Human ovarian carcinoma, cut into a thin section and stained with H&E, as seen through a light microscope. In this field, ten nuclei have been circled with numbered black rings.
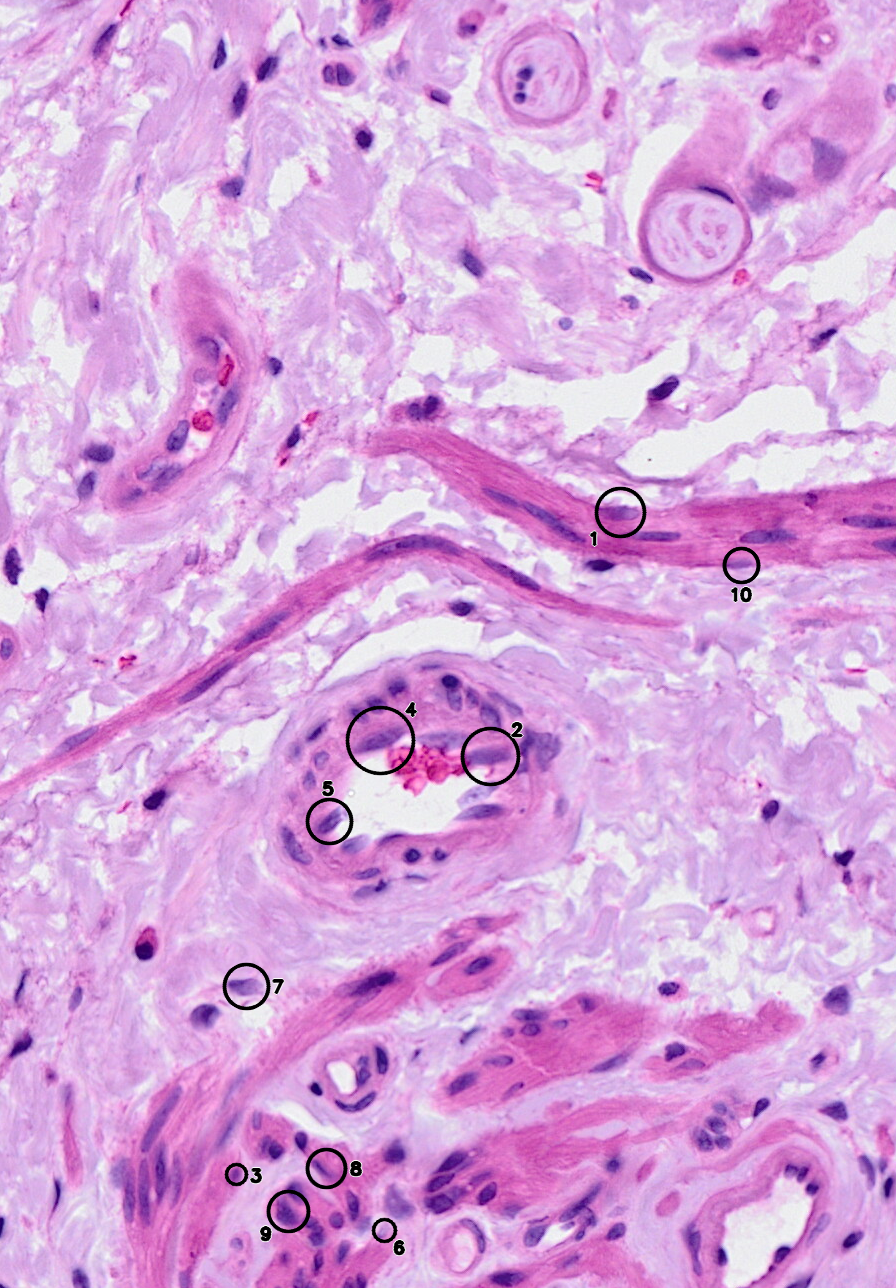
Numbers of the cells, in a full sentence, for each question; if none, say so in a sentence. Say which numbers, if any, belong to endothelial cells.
So, the cells with numbers 2, 4 and 5 are endothelial cells.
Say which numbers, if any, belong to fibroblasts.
Only cell 7 is a fibroblast; none of the other numbered cells is.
